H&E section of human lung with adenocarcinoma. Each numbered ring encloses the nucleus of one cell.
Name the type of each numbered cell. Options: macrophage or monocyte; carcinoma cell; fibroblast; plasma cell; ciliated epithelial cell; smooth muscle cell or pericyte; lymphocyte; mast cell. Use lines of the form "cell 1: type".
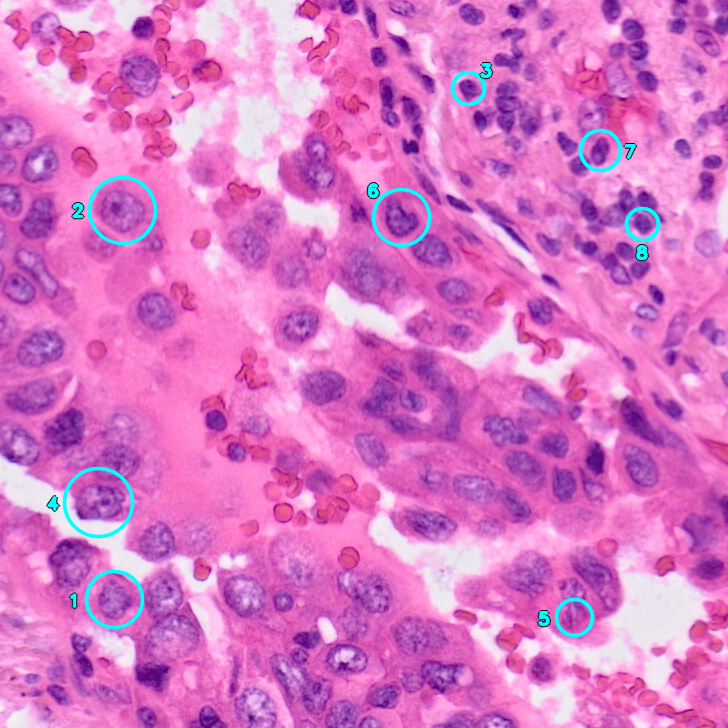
cell 1: carcinoma cell
cell 2: carcinoma cell
cell 3: lymphocyte
cell 4: carcinoma cell
cell 5: carcinoma cell
cell 6: carcinoma cell
cell 7: lymphocyte
cell 8: lymphocyte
